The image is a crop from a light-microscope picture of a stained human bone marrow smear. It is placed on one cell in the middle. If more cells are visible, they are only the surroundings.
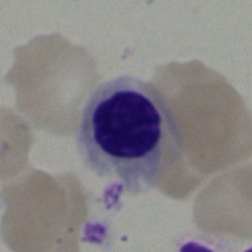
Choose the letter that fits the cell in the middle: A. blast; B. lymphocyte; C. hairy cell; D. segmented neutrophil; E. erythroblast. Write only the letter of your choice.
E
